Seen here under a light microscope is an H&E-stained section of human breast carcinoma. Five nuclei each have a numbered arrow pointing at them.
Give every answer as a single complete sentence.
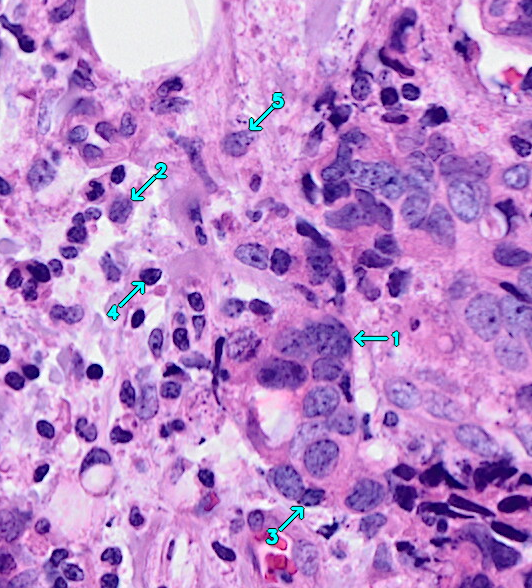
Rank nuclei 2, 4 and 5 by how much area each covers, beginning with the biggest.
By area, largest first, they run 5, 2, 4.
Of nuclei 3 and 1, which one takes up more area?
It is nucleus 1, which covers about 3 times the area of nucleus 3.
